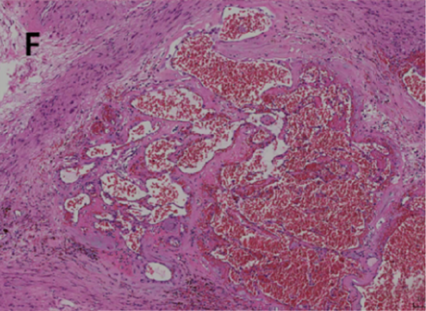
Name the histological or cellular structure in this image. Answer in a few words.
Dilated vascular plexus.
